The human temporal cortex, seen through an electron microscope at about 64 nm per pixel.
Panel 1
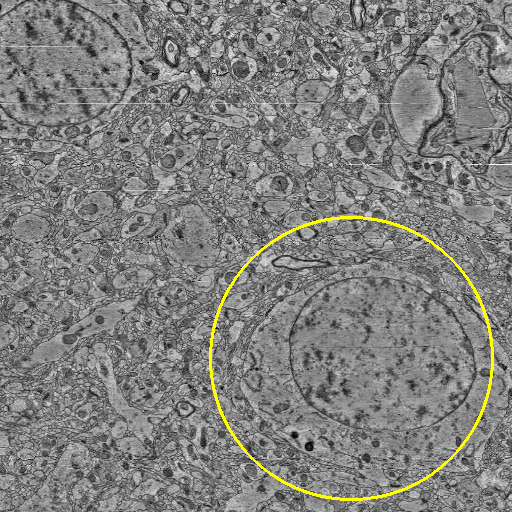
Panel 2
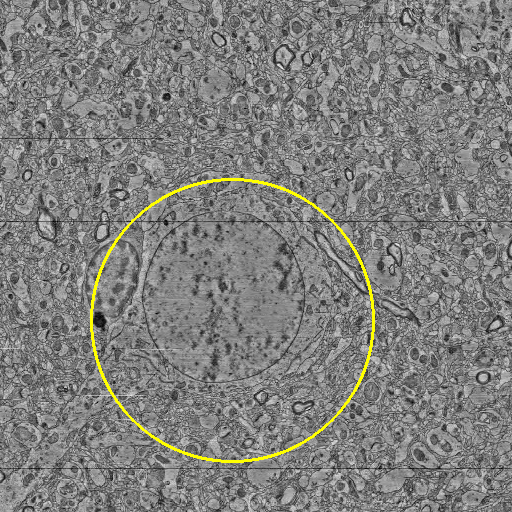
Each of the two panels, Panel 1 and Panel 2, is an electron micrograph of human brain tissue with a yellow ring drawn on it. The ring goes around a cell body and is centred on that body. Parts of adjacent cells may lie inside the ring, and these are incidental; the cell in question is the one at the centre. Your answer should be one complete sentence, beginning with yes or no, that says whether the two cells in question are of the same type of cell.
Yes, the two cells are of the same type.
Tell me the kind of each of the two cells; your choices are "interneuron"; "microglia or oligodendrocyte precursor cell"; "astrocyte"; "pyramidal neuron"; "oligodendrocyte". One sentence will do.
In each of the two pictures, the ringed cell is a pyramidal neuron.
